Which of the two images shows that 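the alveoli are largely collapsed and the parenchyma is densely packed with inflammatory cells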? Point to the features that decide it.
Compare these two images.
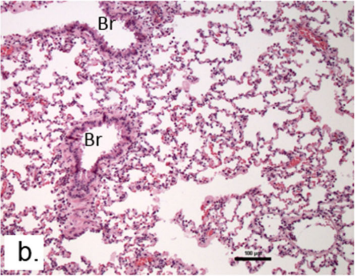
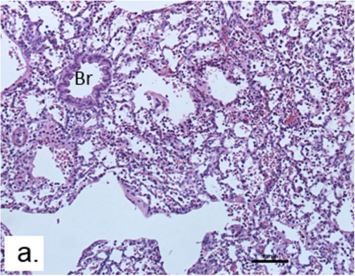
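The second image. First image: thin alveolar walls outline many open air spaces.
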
